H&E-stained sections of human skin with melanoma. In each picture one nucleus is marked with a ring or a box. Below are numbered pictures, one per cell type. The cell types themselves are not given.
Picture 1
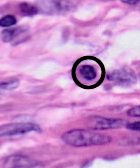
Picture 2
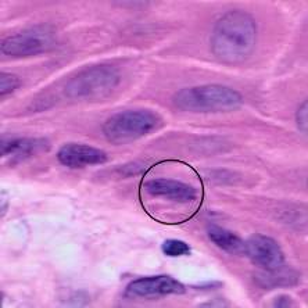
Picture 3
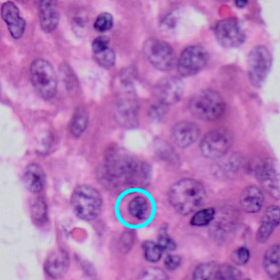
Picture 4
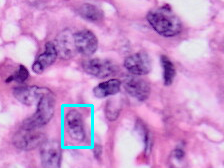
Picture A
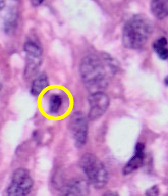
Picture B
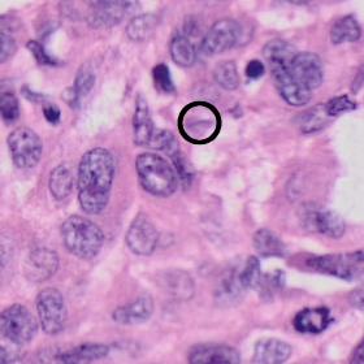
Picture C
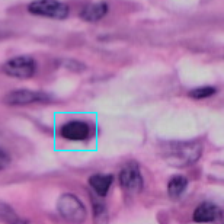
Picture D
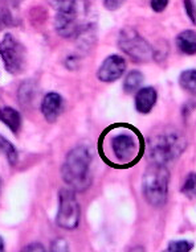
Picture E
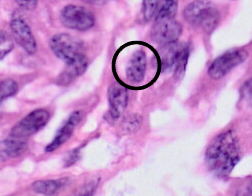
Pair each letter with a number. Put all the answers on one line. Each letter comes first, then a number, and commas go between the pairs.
A 3, B 4, C 1, D 3, E 4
